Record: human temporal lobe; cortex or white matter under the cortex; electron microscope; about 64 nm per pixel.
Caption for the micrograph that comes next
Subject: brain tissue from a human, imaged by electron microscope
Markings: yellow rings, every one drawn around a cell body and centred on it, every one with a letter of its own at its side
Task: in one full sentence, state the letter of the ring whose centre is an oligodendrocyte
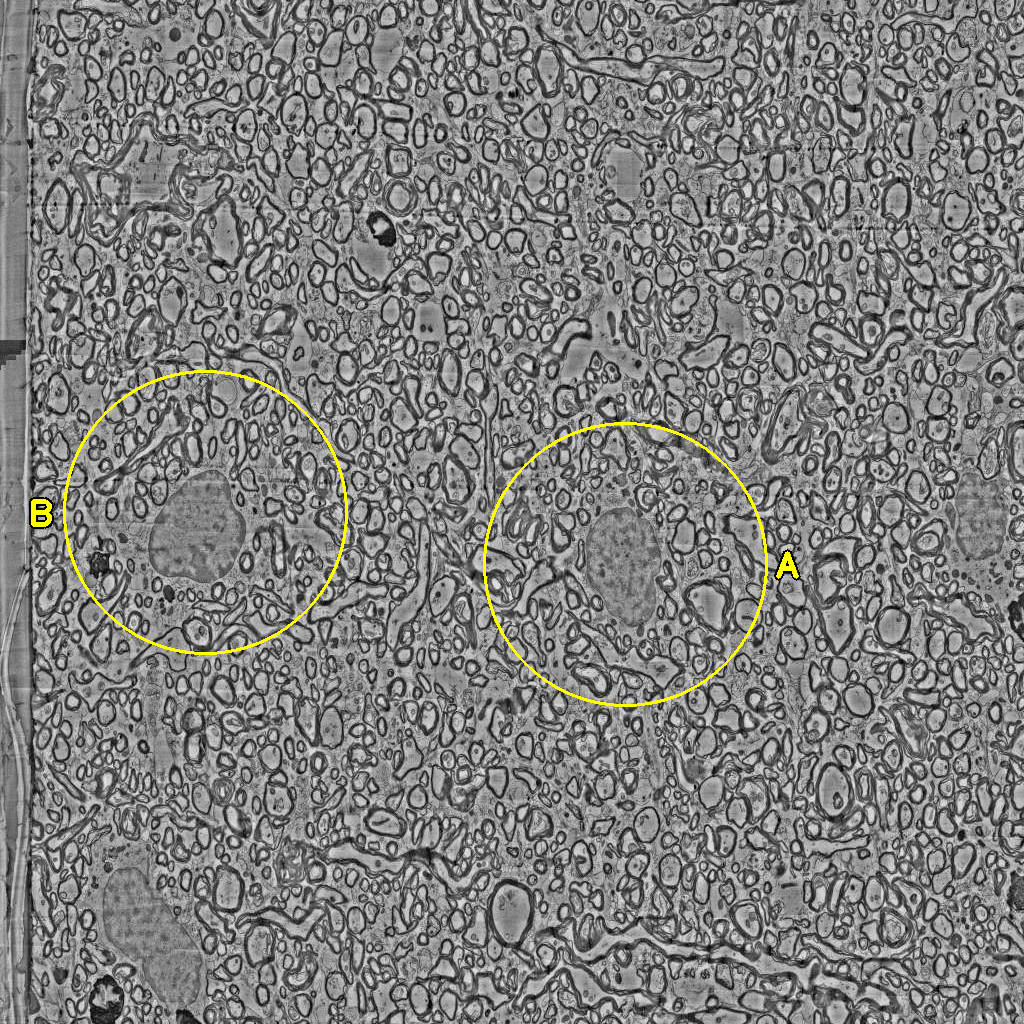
The ring centred on the cell asked for in this micrograph carries the letter A.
